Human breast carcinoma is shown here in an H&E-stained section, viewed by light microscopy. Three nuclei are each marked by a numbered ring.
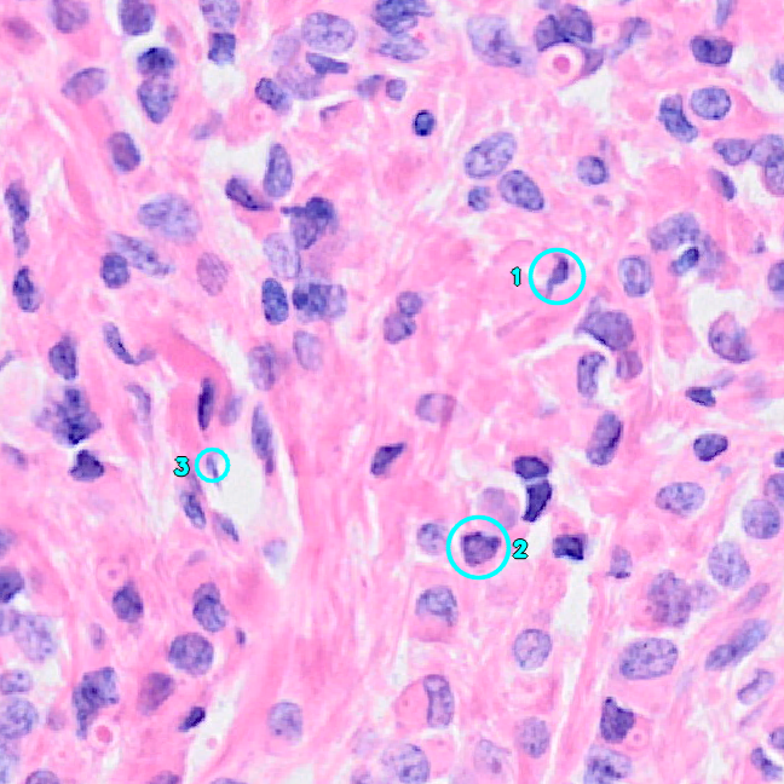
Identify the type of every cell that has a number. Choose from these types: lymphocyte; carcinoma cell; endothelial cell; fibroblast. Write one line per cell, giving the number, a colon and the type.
1: fibroblast
2: carcinoma cell
3: endothelial cell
